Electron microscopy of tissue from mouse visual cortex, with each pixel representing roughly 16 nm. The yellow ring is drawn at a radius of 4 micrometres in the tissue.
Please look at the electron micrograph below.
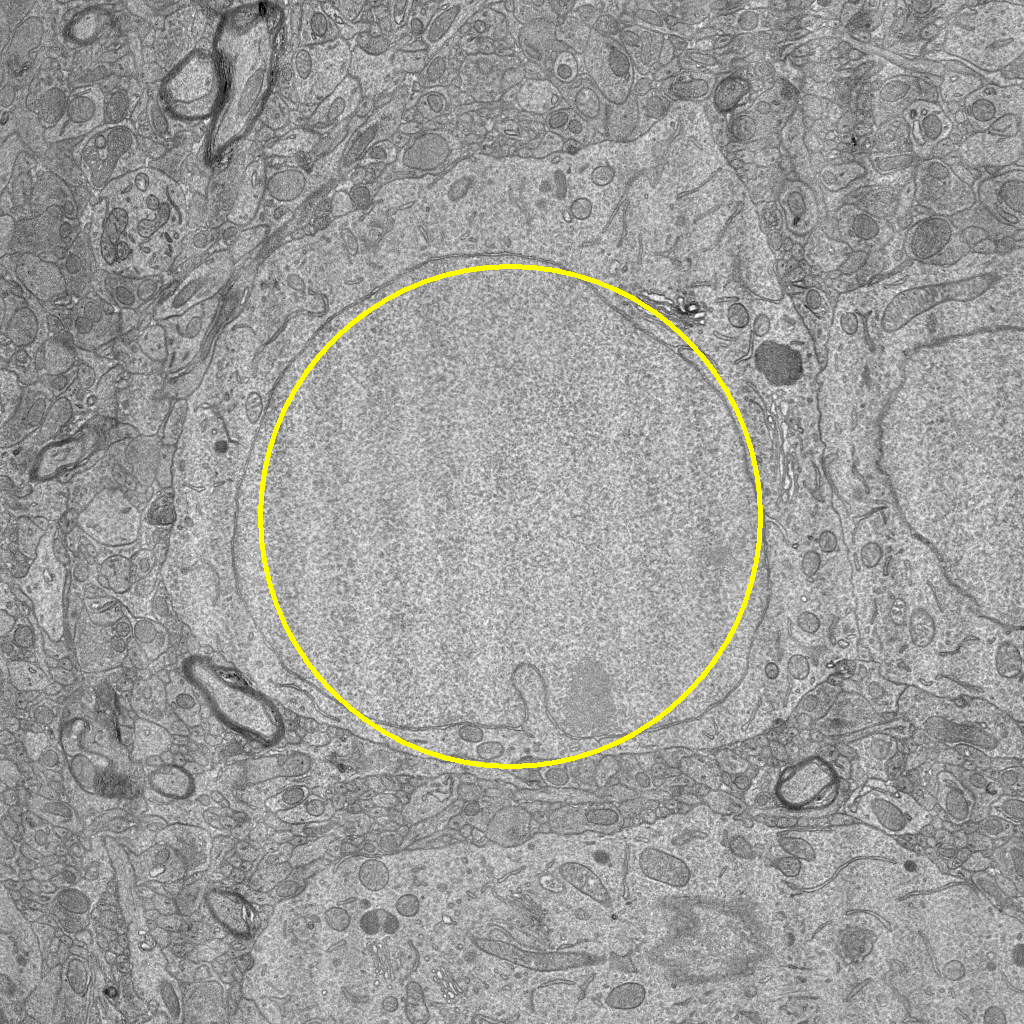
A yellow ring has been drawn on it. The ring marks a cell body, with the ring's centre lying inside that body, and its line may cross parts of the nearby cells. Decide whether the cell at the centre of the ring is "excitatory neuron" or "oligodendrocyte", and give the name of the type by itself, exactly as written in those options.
excitatory neuron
